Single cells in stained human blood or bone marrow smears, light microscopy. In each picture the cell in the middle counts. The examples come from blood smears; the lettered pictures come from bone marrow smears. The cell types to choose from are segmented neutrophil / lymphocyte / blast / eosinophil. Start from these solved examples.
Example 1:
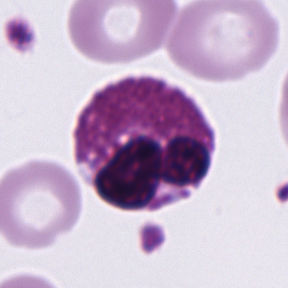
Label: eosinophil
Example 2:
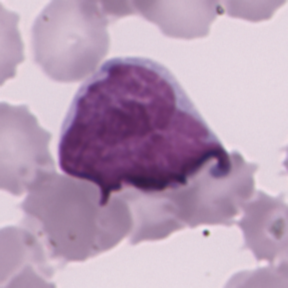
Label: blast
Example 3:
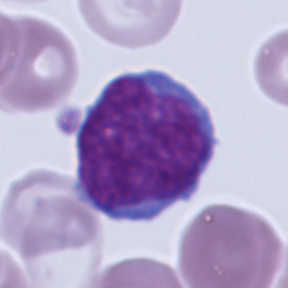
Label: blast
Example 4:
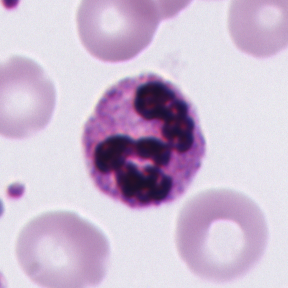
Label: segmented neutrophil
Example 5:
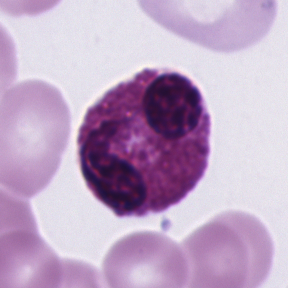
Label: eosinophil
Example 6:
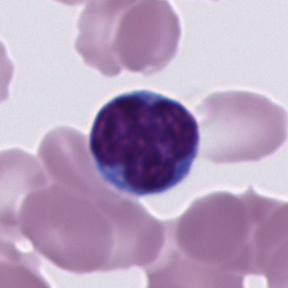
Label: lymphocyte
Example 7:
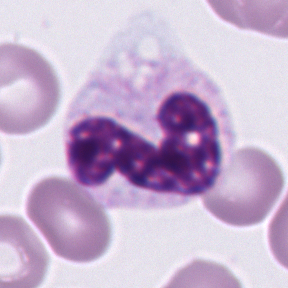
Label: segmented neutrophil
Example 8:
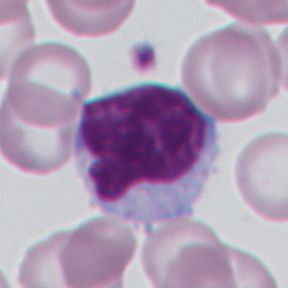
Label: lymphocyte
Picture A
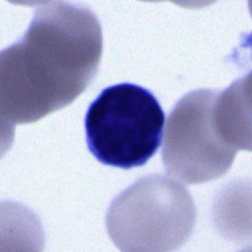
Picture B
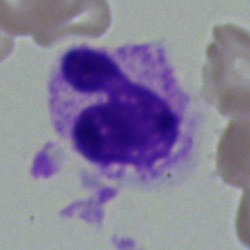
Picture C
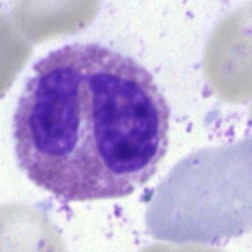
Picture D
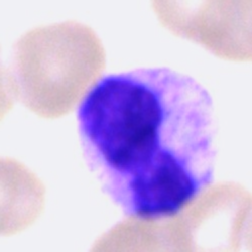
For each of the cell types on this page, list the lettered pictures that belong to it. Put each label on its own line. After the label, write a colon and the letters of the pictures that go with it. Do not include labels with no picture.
segmented neutrophil: B, D
lymphocyte: A
eosinophil: C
